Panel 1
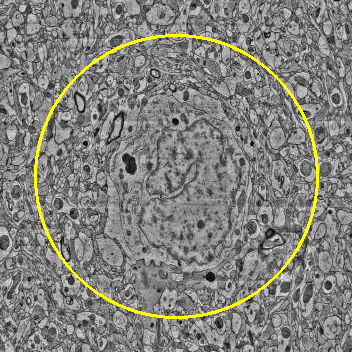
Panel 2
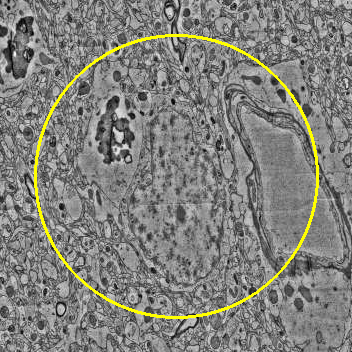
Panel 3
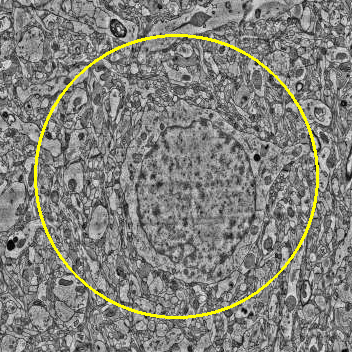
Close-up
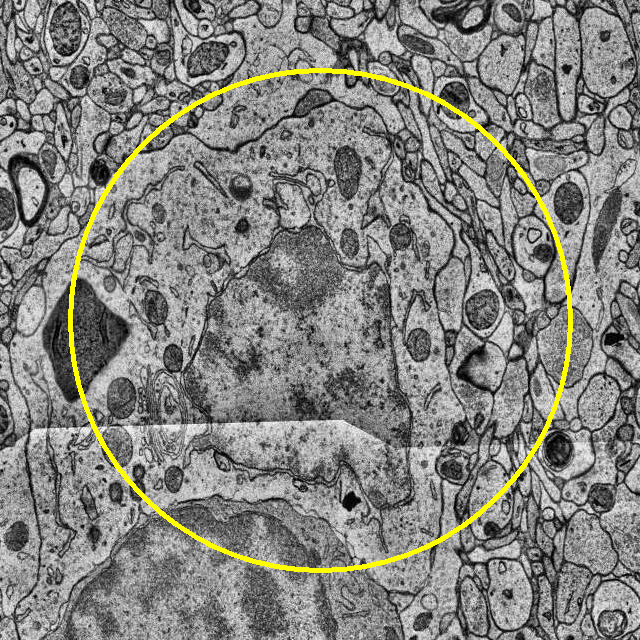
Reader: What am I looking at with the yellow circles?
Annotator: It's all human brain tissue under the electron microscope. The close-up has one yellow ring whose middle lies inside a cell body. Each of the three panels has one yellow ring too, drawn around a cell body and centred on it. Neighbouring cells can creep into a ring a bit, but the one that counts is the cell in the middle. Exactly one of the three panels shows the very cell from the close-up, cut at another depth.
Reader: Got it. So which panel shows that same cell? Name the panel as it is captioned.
Panel 1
